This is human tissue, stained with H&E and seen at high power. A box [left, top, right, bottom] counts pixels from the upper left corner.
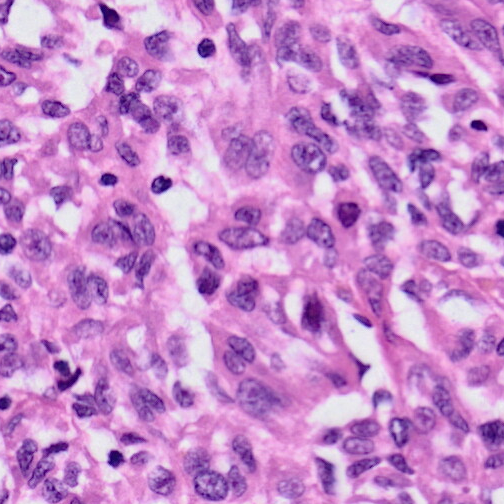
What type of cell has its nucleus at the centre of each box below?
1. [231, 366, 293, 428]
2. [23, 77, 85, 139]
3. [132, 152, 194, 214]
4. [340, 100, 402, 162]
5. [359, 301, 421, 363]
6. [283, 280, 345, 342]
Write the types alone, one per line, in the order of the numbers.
melanoma cell
melanoma cell
lymphocyte
melanoma cell
endothelial cell
melanoma cell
